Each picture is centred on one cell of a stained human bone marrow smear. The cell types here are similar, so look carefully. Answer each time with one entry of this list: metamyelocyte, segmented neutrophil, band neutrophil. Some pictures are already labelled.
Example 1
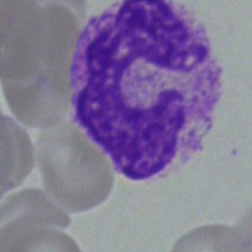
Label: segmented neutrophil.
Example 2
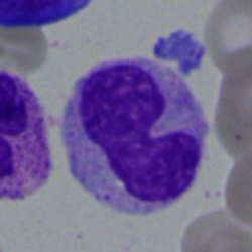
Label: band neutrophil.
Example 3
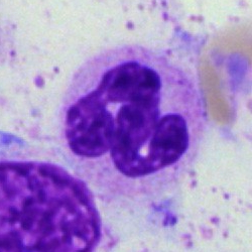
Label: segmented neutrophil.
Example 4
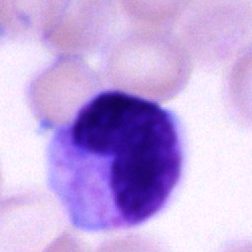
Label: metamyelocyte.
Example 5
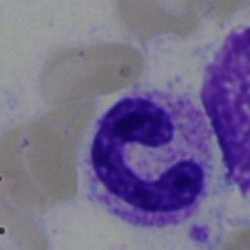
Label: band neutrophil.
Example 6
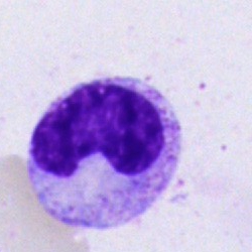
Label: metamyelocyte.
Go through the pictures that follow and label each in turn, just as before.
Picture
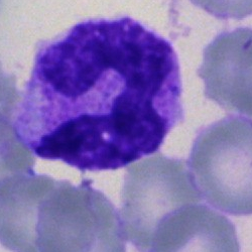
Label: segmented neutrophil.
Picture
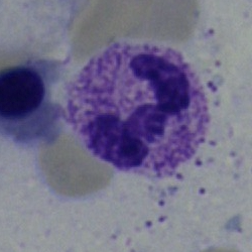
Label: segmented neutrophil.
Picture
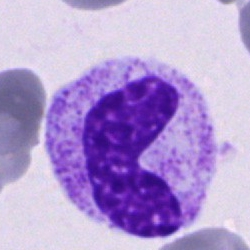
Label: band neutrophil.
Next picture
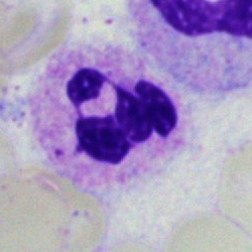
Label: segmented neutrophil.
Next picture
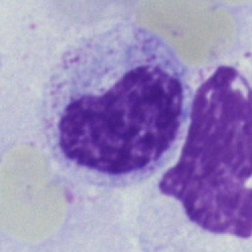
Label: metamyelocyte.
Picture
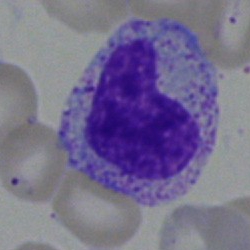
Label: metamyelocyte.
